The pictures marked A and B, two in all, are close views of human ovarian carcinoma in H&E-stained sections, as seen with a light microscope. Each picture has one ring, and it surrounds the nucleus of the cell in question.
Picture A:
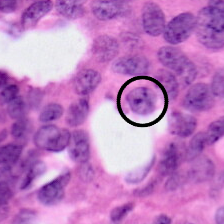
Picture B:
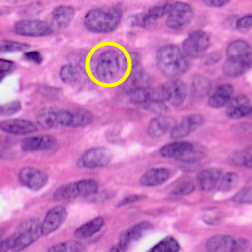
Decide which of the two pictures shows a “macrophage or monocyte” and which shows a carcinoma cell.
A: macrophage or monocyte
B: carcinoma cell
